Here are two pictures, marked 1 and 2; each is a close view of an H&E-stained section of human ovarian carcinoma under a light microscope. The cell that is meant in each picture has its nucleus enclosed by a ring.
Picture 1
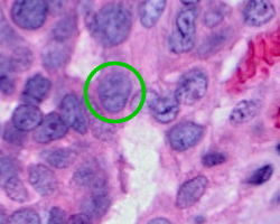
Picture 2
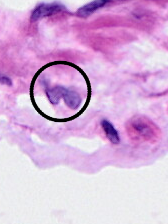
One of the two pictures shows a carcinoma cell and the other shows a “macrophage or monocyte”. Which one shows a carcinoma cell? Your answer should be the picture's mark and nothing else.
1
